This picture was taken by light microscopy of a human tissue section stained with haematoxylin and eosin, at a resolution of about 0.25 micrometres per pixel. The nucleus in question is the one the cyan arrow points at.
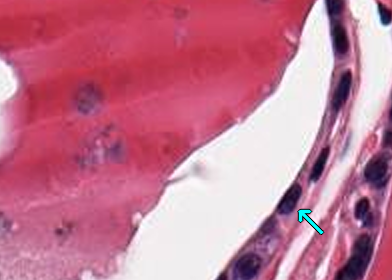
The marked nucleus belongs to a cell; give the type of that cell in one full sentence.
In the section shown, the marked nucleus belongs to a thyroid follicular cell.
